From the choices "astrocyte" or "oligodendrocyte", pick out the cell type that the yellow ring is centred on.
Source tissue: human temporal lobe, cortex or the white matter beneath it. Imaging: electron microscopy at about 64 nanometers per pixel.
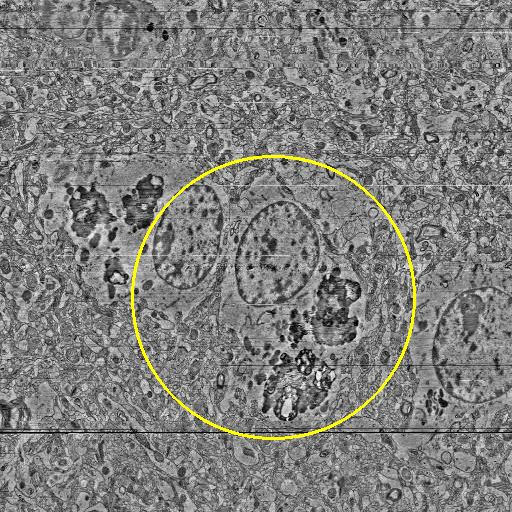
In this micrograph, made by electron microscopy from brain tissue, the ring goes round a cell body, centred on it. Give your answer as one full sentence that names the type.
The yellow ring is centred on an astrocyte, whose cell body it encircles in the picture.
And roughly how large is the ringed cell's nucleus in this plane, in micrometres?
About 7 by 5 micrometres in this plane.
